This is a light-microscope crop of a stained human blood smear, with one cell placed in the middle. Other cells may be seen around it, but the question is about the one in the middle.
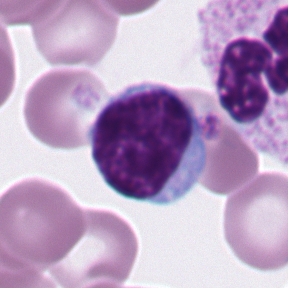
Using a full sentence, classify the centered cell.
By classification, the middle cell of this crop is a lymphocyte.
